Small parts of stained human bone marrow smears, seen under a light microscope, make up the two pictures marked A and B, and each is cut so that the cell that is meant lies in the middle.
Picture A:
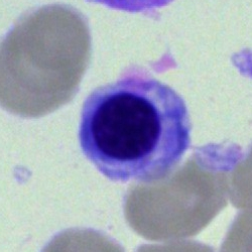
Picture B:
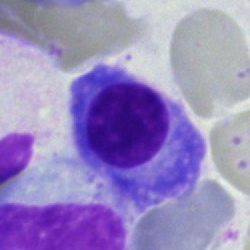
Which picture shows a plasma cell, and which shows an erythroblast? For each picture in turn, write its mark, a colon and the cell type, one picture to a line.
A: erythroblast
B: plasma cell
